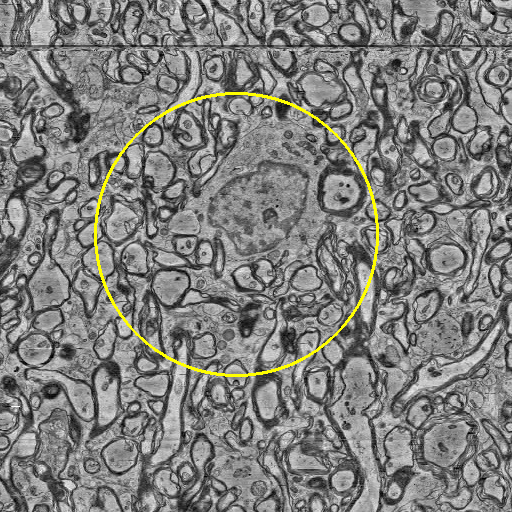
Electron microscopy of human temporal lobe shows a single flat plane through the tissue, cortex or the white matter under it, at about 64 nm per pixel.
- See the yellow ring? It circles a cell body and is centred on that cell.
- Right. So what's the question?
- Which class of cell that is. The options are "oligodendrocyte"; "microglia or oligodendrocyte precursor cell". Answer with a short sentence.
The centre of the ring holds an oligodendrocyte.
